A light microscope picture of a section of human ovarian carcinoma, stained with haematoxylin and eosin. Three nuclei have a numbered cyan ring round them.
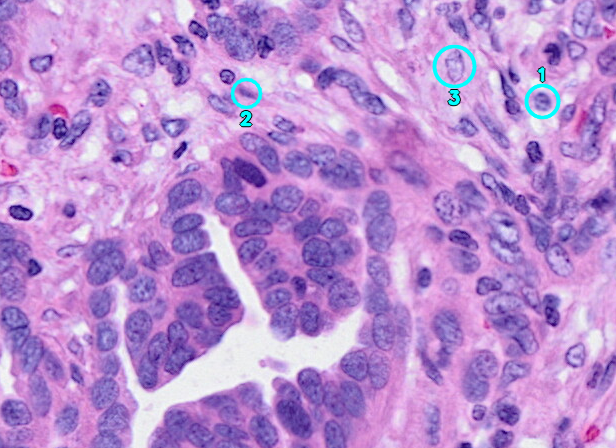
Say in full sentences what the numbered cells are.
Cell 1 is a lymphocyte, cell 2 is a fibroblast and cell 3 is a fibroblast.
